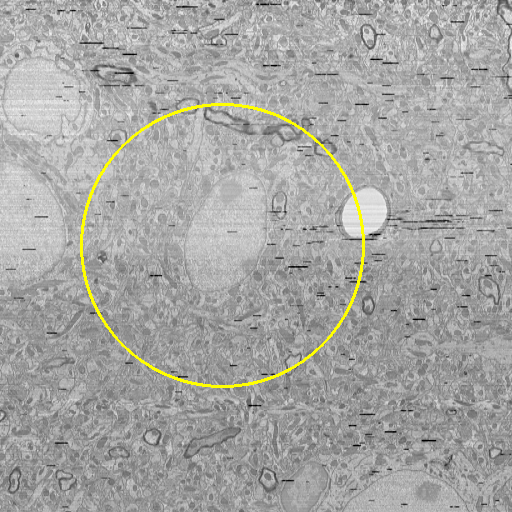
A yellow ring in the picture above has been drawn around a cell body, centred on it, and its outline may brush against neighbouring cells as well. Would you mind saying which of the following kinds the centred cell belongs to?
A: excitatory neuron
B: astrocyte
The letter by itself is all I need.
B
